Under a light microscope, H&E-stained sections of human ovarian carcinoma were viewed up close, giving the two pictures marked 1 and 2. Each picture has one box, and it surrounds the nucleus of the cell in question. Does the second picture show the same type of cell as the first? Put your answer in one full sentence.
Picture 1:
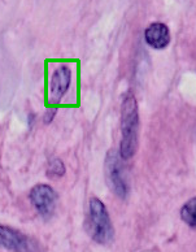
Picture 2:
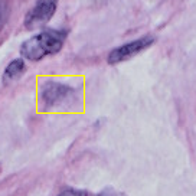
No, picture 1 shows a “macrophage or monocyte” and picture 2 shows a fibroblast.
